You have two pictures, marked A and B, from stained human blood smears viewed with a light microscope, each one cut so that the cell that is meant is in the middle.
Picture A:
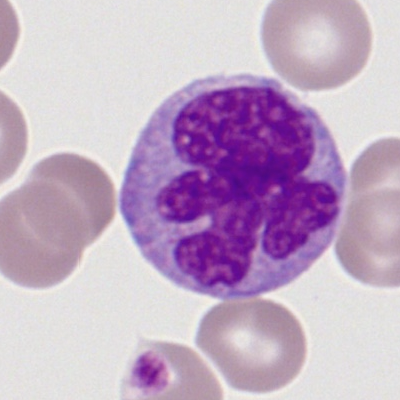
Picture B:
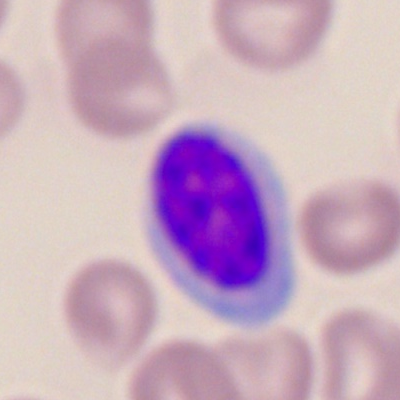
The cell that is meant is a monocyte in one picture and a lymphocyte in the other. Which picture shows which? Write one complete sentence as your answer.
In picture A the cell is a monocyte; in picture B, a lymphocyte.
